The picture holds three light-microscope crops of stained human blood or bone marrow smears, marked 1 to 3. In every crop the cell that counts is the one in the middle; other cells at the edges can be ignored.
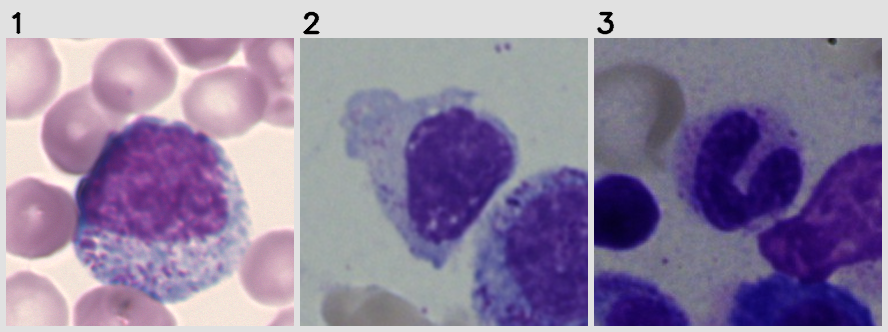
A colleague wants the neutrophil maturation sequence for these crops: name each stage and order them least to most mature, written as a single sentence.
The crops, ordered from least to most mature, are crop 1 (a promyelocyte), crop 2 (a myelocyte) and crop 3 (a segmented neutrophil).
